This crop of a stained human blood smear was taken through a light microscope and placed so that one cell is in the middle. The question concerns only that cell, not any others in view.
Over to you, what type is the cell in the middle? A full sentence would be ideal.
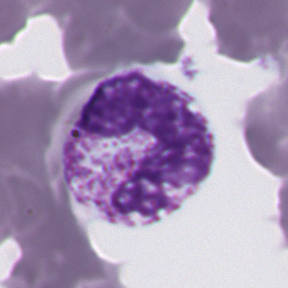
The cell positioned in the middle of the field is a segmented neutrophil.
